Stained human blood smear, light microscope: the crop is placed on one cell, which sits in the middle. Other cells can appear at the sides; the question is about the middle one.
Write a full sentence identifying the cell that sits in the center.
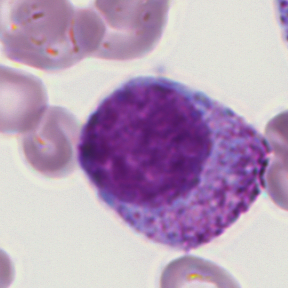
Classified as a promyelocyte is the cell in the middle of this crop.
